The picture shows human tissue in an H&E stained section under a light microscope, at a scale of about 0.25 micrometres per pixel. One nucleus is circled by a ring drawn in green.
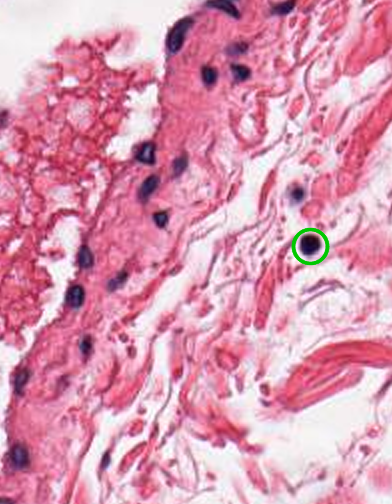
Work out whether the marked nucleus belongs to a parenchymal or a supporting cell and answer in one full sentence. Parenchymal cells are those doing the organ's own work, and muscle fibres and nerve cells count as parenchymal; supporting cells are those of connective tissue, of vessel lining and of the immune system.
What the marked nucleus belongs to is a supporting cell.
